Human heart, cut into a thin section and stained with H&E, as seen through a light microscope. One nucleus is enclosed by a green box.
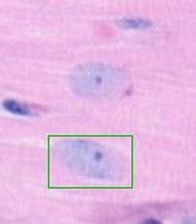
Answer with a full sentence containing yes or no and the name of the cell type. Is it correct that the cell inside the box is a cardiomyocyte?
Yes, the identity of the cell inside the box is that of a cardiomyocyte.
